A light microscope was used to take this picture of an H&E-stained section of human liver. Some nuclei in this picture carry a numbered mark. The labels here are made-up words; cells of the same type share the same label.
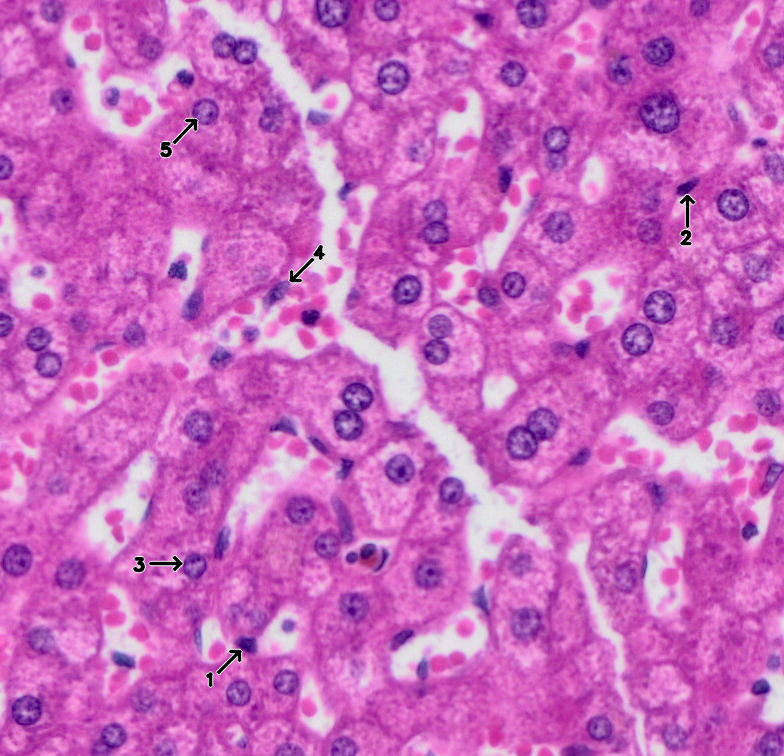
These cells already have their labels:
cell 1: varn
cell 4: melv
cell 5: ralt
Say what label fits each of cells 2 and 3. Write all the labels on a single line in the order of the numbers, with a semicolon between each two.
varn; ralt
